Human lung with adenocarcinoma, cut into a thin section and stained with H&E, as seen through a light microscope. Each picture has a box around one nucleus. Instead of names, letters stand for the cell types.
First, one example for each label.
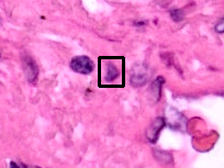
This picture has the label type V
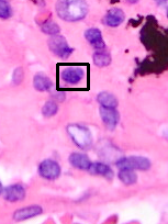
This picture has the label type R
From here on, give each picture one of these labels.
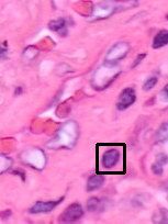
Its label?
type V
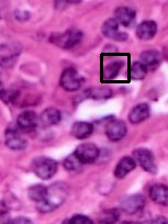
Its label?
type R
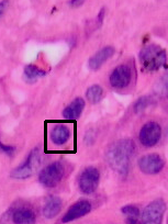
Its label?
type V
